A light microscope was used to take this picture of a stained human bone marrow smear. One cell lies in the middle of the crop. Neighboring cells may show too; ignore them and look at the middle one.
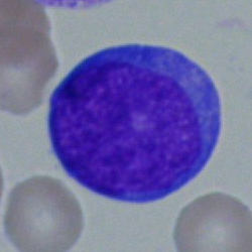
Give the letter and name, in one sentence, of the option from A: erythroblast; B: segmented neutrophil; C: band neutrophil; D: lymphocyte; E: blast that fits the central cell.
The centrally located cell is a blast, making option E the correct choice.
